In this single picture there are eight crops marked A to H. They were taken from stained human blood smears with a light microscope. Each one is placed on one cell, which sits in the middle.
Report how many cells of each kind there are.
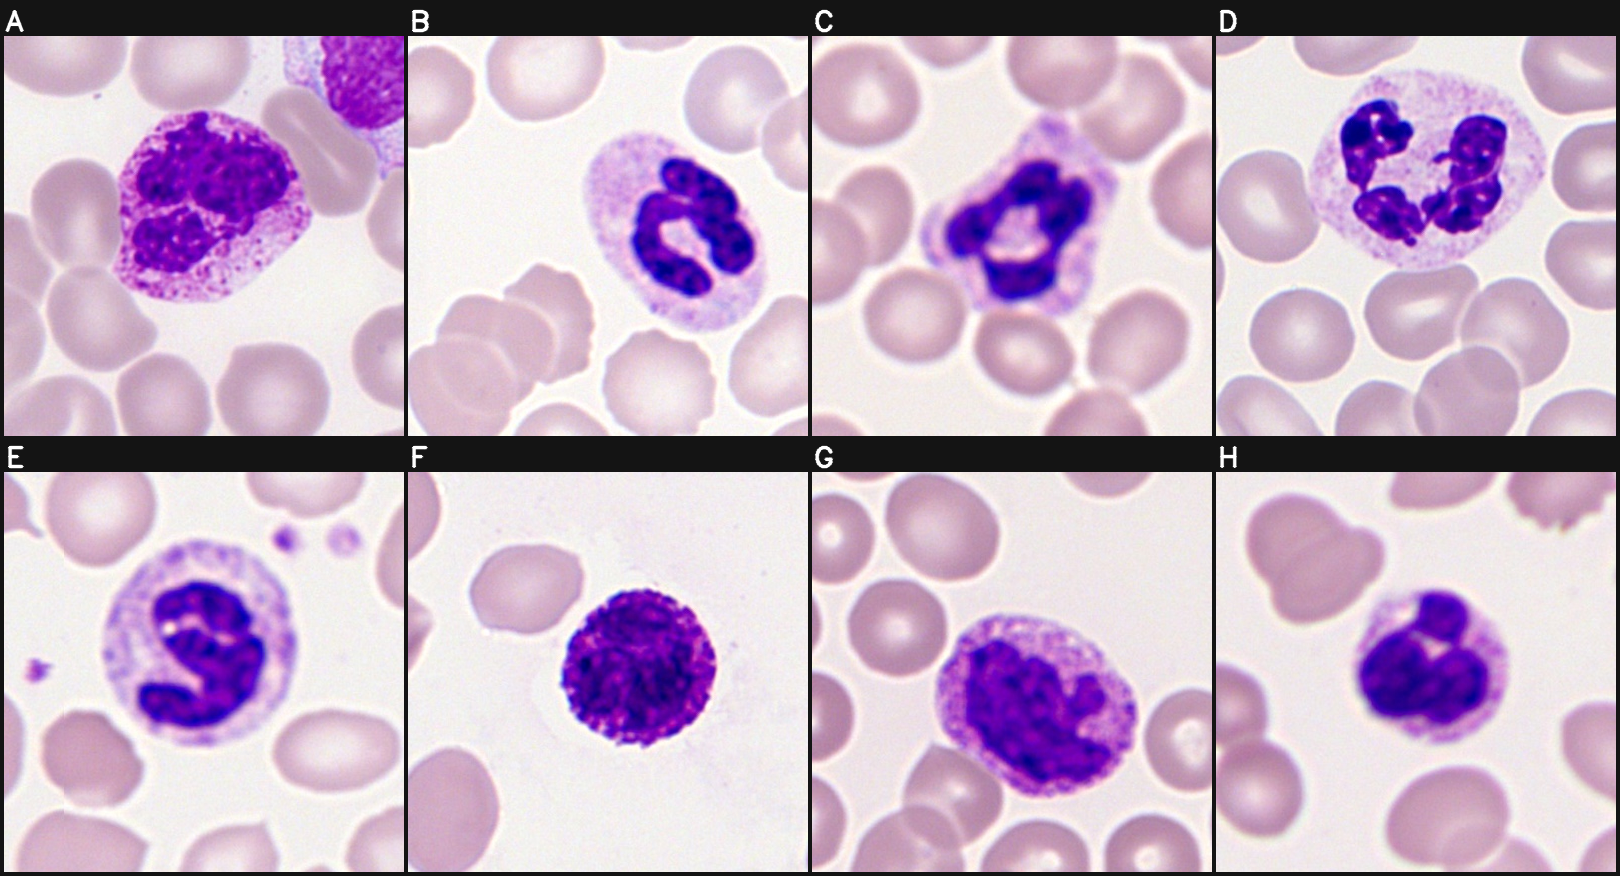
segmented neutrophil: 5
basophil: 3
